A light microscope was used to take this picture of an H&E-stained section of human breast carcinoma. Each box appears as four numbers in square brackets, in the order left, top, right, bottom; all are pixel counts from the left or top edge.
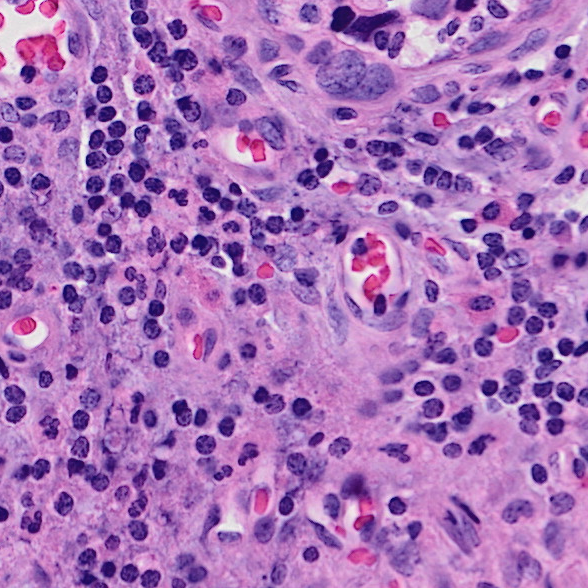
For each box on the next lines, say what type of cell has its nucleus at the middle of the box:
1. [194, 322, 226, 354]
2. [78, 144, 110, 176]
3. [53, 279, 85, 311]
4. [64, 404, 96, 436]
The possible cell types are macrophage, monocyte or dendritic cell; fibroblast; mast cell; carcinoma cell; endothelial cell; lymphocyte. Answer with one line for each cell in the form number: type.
1: endothelial cell
2: lymphocyte
3: lymphocyte
4: lymphocyte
